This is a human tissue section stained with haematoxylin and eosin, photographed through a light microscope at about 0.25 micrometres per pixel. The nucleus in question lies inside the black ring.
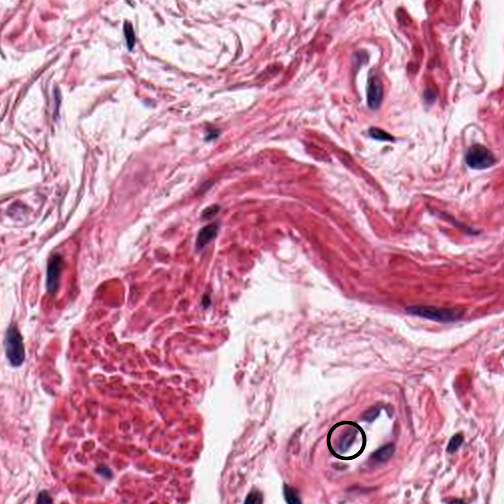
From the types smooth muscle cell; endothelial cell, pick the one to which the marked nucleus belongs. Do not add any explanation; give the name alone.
endothelial cell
